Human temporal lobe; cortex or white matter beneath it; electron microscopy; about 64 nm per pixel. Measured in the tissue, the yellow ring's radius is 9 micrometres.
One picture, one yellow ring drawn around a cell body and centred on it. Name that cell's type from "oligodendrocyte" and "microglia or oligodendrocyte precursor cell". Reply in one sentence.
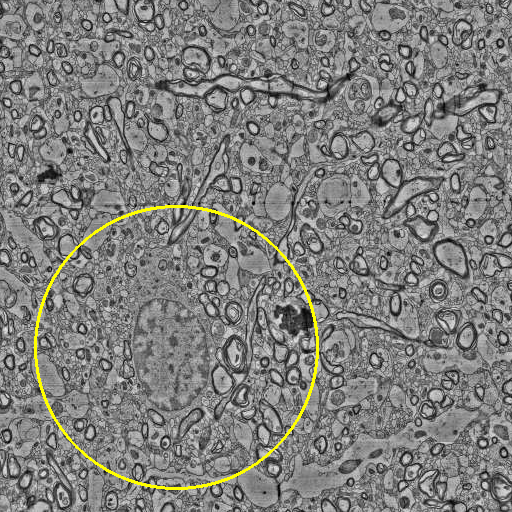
Centred in the ring is an oligodendrocyte.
